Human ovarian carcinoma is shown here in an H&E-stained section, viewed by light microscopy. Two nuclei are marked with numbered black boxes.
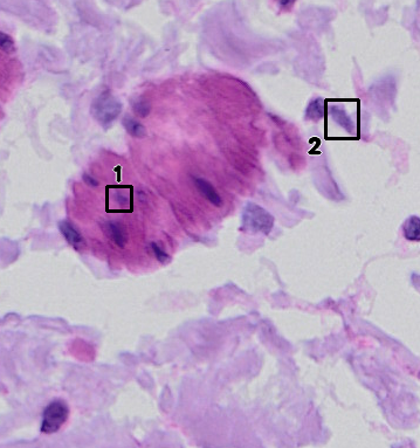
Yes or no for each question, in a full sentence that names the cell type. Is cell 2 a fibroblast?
Yes, the cell pointed out as number 2 is a fibroblast.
